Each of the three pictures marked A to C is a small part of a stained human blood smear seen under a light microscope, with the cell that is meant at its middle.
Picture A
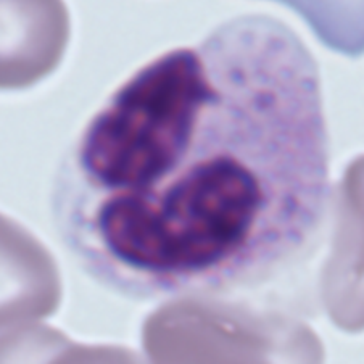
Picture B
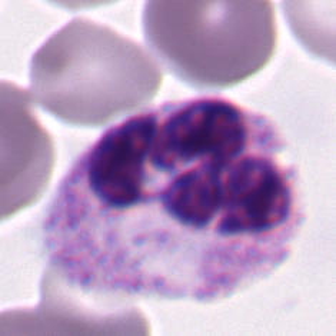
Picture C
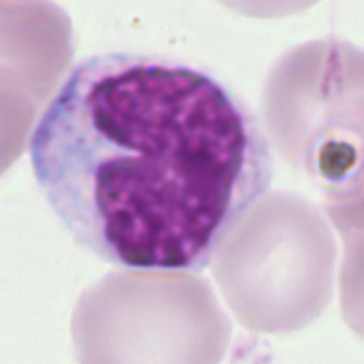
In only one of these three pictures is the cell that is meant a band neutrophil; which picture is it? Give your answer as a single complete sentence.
Picture C is the one that shows the band neutrophil.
